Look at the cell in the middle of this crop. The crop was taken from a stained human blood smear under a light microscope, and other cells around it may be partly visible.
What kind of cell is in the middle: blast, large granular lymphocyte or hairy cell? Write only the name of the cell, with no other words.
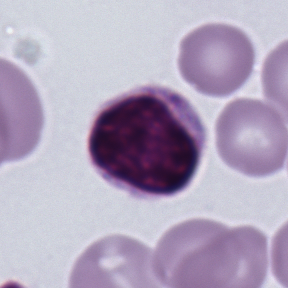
large granular lymphocyte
